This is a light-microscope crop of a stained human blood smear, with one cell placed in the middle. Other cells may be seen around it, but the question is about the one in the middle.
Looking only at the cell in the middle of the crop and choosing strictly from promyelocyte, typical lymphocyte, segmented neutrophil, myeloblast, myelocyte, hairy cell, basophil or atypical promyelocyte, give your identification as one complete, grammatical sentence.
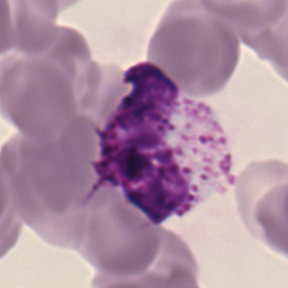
Classification of the middle cell gives a basophil.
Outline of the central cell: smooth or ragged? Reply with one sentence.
Along its border, the cell is uneven, whether by ragged stretches or by projections.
